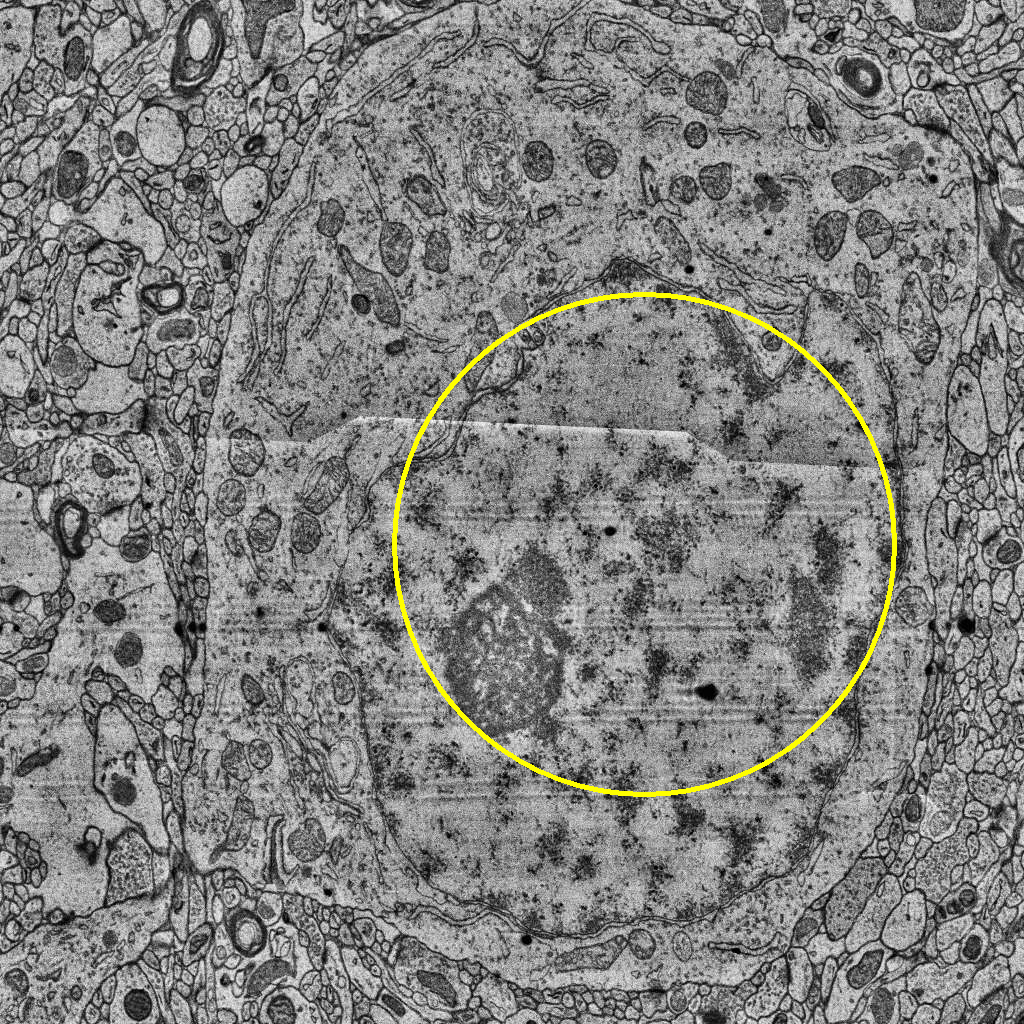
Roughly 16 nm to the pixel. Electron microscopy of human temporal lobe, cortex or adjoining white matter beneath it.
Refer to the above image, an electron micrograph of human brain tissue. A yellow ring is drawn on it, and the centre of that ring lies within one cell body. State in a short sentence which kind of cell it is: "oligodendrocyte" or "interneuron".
The centre of the ring falls on an interneuron.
